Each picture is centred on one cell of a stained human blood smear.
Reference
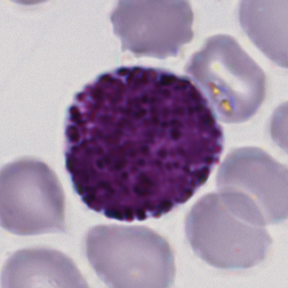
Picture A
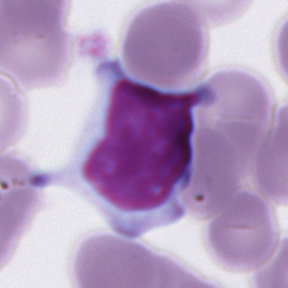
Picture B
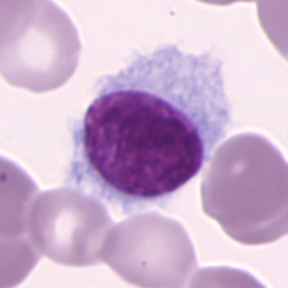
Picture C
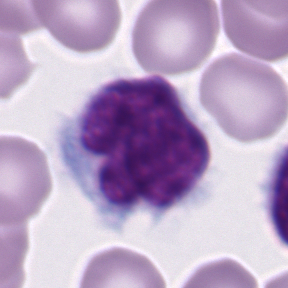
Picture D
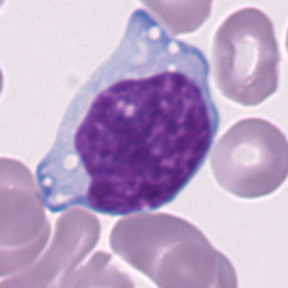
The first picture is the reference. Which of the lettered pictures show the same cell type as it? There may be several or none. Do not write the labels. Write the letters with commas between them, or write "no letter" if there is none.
no letter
